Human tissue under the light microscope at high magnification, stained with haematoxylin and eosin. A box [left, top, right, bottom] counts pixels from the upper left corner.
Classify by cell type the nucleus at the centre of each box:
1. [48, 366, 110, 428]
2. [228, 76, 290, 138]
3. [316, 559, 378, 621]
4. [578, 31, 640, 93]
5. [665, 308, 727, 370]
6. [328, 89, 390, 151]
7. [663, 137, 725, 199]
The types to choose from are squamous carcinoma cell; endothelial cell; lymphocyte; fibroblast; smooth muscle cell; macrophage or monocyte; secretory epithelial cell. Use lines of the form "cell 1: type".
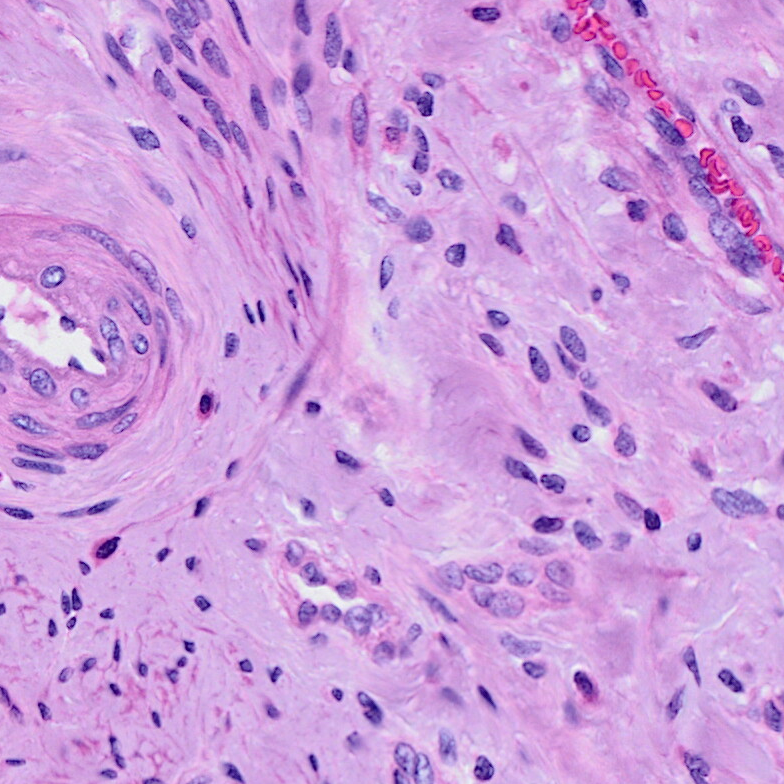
cell 1: smooth muscle cell
cell 2: fibroblast
cell 3: endothelial cell
cell 4: endothelial cell
cell 5: fibroblast
cell 6: smooth muscle cell
cell 7: endothelial cell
